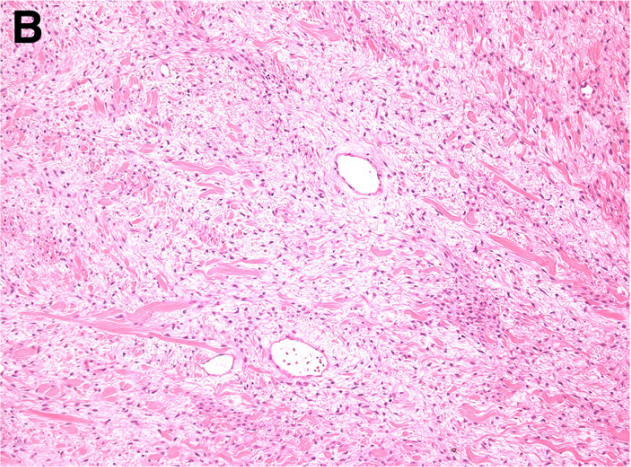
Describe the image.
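A few thin-walled round vessels with red cells inside sit in the loose tissue. Toward the upper right corner the cells become denser again.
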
